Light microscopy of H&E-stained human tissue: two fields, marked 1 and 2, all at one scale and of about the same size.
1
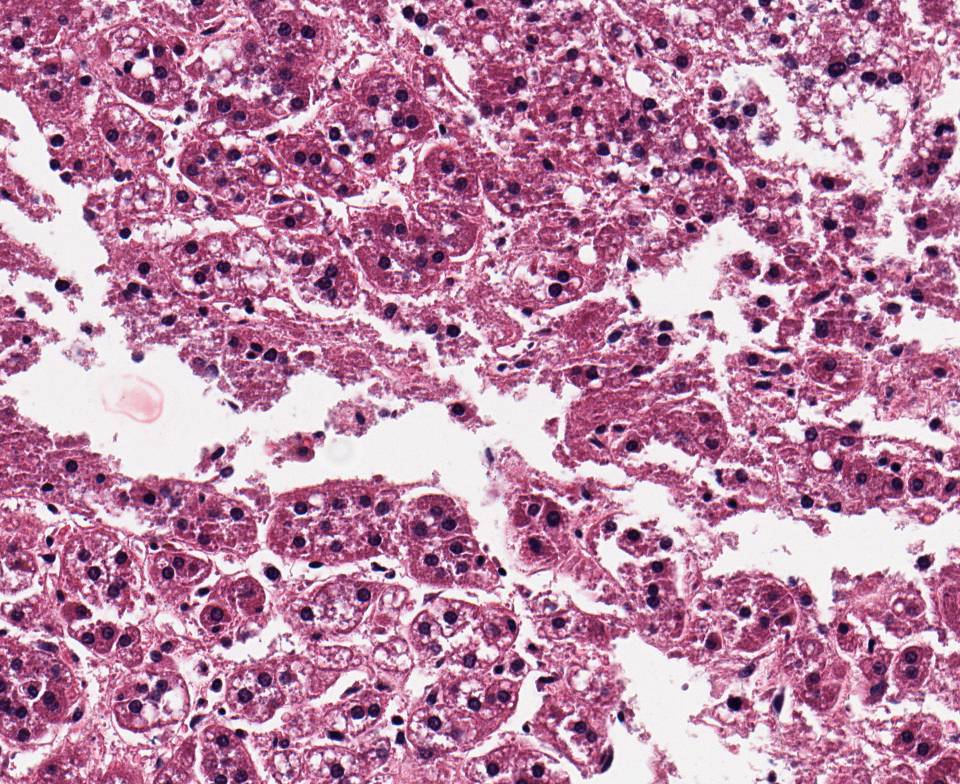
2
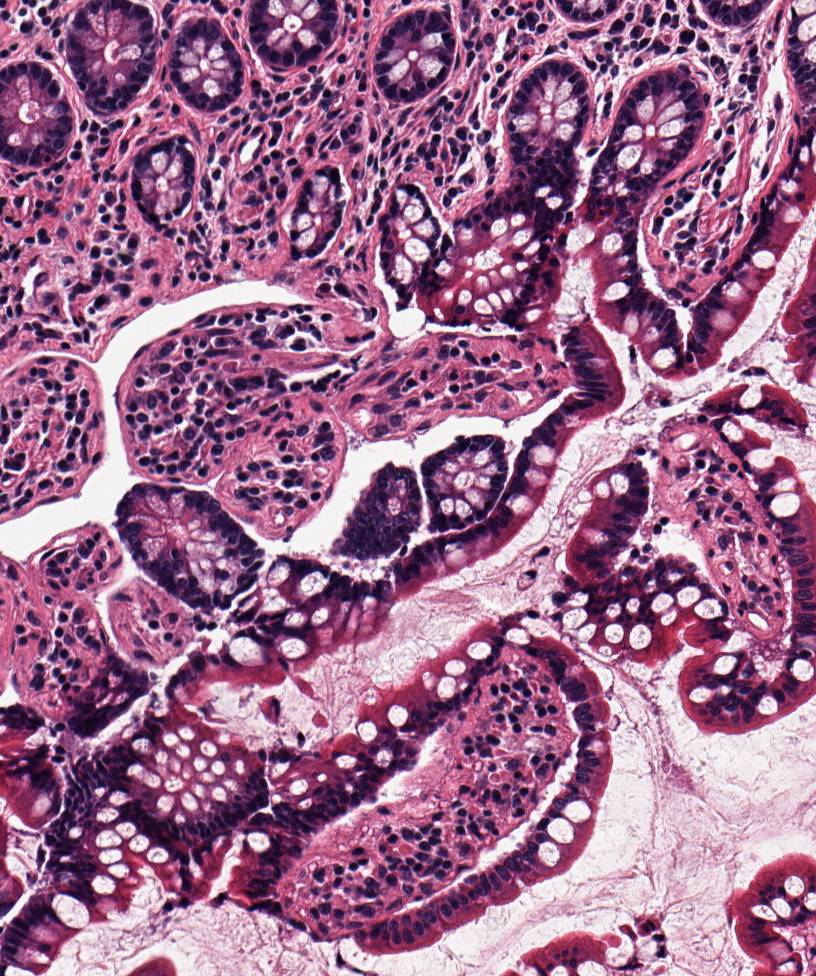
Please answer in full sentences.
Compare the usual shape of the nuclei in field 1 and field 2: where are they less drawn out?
Rounder nuclei lie in field 1.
